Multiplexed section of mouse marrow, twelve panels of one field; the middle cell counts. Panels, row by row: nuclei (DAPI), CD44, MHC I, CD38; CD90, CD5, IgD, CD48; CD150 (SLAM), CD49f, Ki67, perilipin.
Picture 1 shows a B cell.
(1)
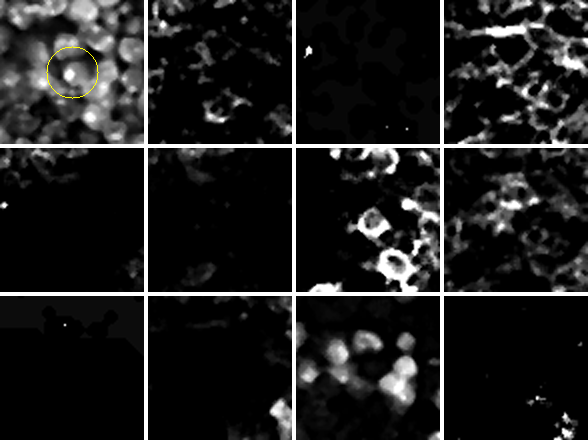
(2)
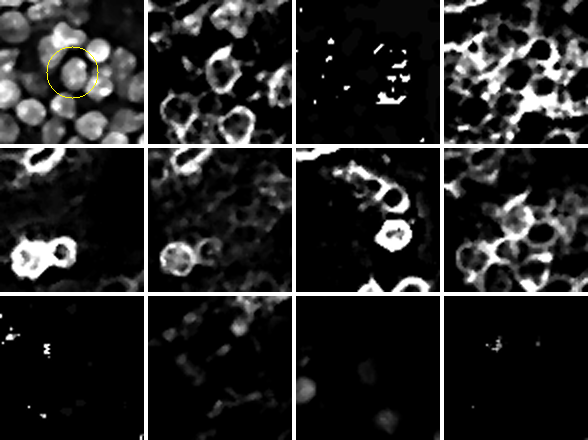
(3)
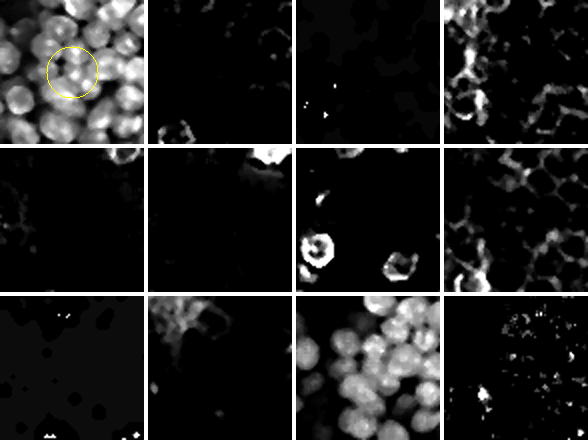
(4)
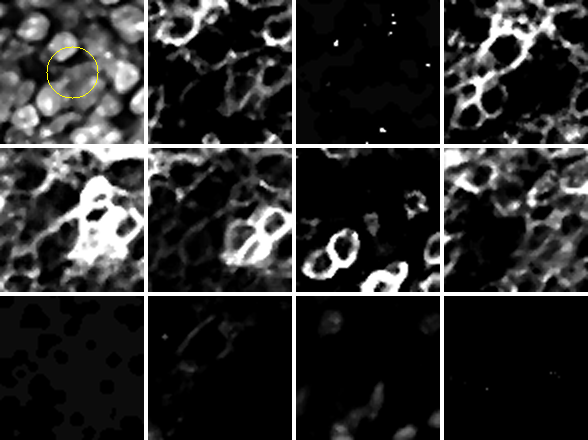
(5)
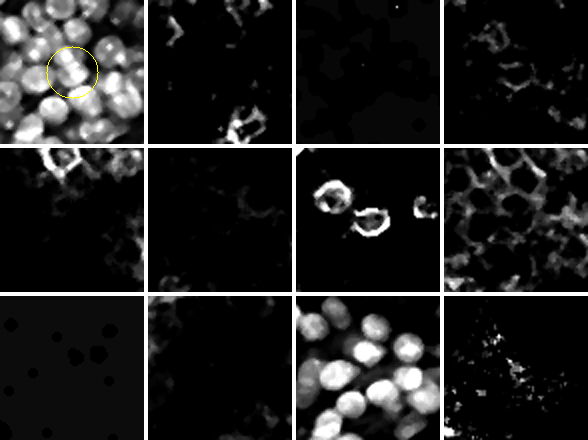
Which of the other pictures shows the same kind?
Picture 5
